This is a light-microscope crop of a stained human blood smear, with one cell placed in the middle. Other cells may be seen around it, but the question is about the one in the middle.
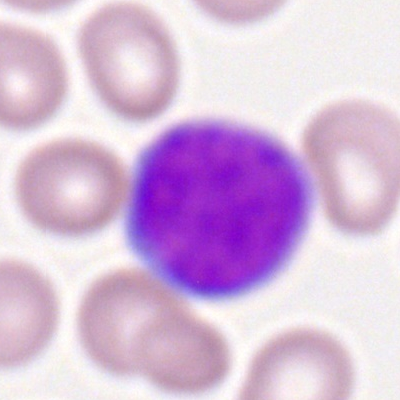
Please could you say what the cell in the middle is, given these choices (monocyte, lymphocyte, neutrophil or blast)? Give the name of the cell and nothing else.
blast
